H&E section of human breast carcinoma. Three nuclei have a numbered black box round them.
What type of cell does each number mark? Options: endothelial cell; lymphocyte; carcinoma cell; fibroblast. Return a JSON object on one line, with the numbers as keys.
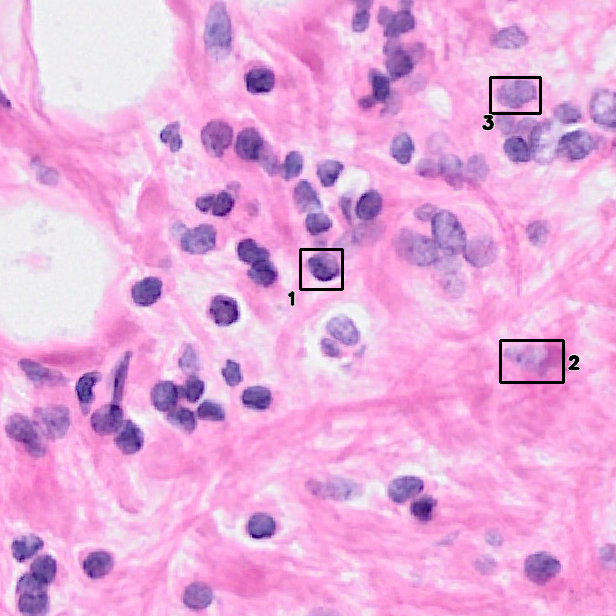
{"1": "carcinoma cell", "2": "fibroblast", "3": "carcinoma cell"}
